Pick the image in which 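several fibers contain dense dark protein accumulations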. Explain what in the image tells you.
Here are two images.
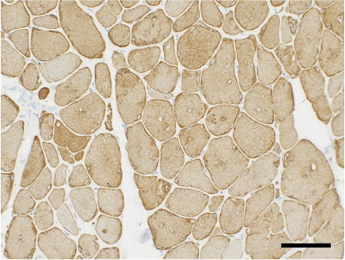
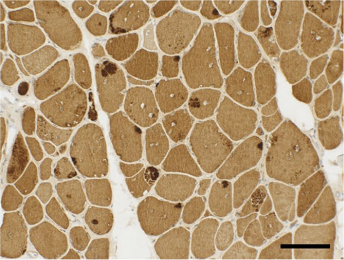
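Second image: a few fibers hold dense dark brown patches.
Answer: the second image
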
